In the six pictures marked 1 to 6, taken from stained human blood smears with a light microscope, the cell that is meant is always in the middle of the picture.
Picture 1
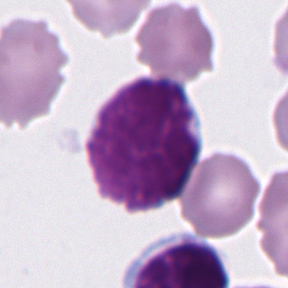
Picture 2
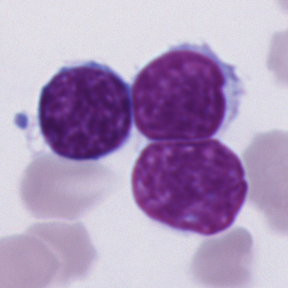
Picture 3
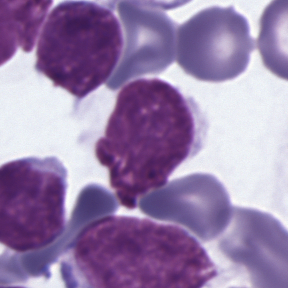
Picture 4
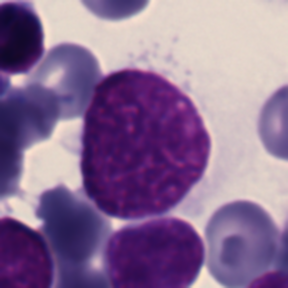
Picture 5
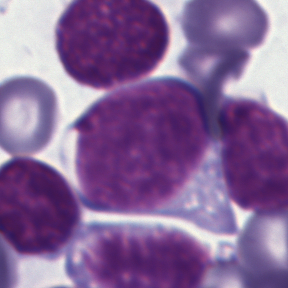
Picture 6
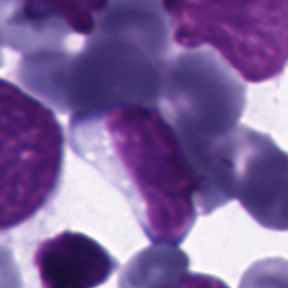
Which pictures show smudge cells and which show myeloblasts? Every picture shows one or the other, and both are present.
1: smudge cell
2: myeloblast
3: myeloblast
4: smudge cell
5: myeloblast
6: myeloblast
